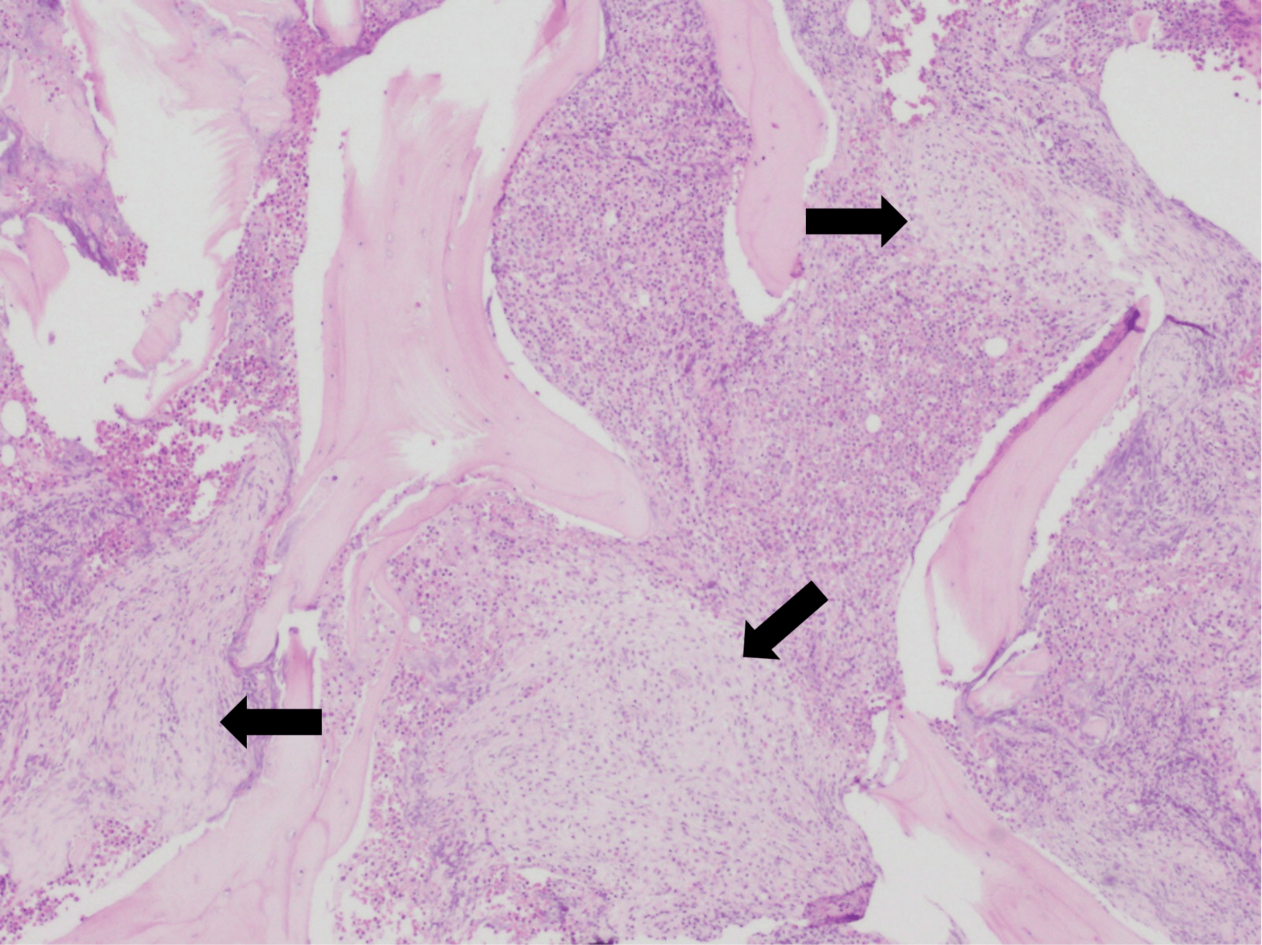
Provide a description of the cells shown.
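Several pale, fairly well-circumscribed aggregates of mast cells lie within the marrow, some of them next to trabeculae. The cells in these aggregates have spindled to oval nuclei and pale, lightly eosinophilic cytoplasm, giving a loose, streaming look. The surrounding marrow is more densely cellular and darker, with scattered red blood cells and a few fat spaces.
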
